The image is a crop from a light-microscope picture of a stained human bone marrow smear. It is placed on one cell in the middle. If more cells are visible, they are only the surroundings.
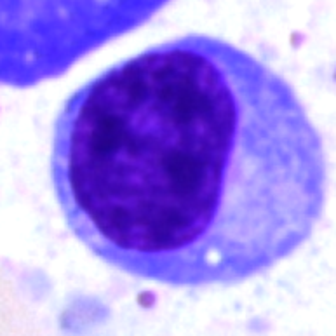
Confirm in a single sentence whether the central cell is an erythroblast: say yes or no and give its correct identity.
No, it is not an erythroblast that sits at the centre but a lymphocyte.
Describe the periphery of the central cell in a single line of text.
If you check the edge, you will find it smooth without projections.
